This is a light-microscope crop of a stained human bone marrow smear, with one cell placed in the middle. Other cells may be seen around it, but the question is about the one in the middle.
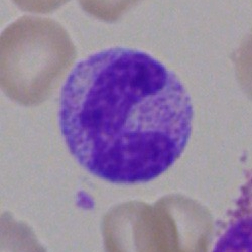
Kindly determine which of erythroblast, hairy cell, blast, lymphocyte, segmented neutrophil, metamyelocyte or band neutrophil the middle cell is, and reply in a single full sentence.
The cell positioned in the middle of the field is a band neutrophil.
